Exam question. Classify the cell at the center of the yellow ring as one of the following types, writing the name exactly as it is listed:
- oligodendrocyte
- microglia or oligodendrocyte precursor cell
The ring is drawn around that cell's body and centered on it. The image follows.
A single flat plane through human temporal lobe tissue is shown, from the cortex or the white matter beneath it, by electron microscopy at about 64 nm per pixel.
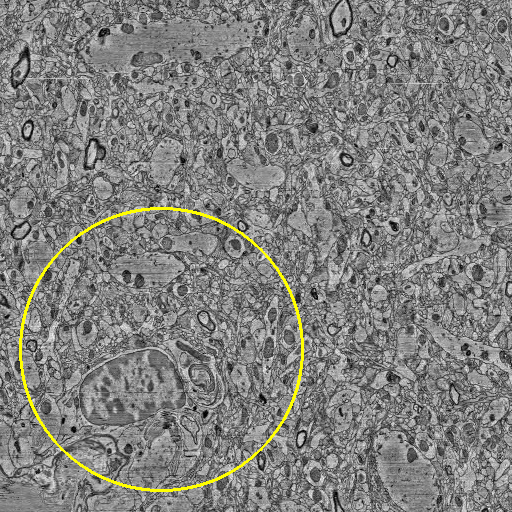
microglia or oligodendrocyte precursor cell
